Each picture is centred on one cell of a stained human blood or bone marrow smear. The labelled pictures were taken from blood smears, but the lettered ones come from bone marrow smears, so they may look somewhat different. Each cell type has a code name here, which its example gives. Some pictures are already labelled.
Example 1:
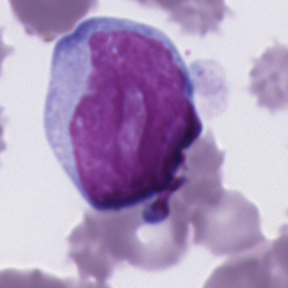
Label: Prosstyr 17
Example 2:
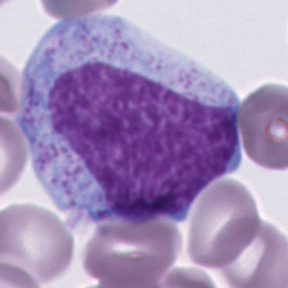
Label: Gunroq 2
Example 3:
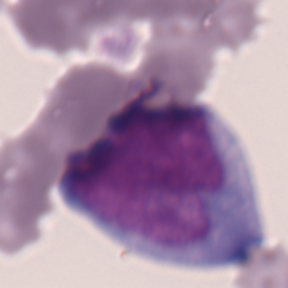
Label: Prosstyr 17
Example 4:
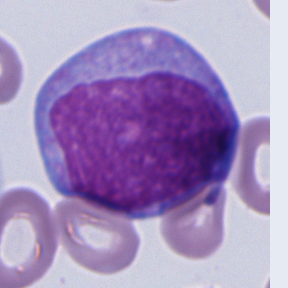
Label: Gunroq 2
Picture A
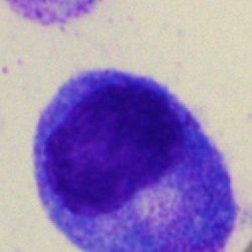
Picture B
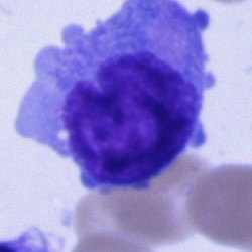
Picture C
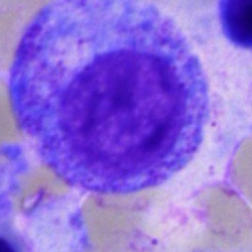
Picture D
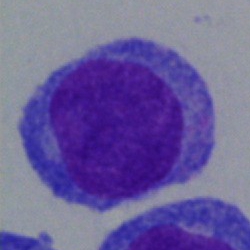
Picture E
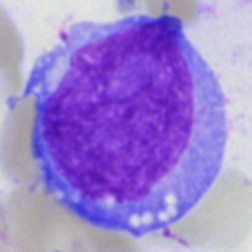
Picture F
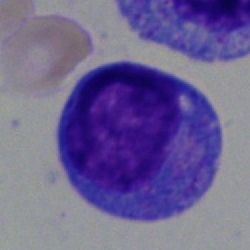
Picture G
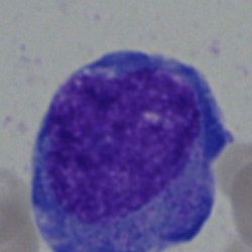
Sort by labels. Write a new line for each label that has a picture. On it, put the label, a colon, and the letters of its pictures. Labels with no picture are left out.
Prosstyr 17: B, D, E, F, G
Gunroq 2: A, C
